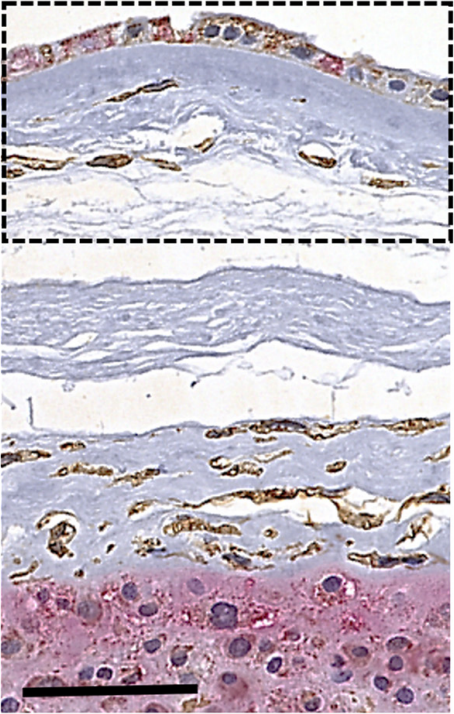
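Below a pale gap, the lower, thicker layers show more loose connective tissue with many brown spindle-shaped cells. At the bottom is a thick layer of rounded cells with pink cytoplasm and blue nuclei.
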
